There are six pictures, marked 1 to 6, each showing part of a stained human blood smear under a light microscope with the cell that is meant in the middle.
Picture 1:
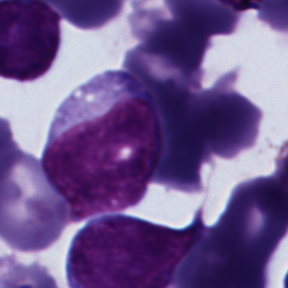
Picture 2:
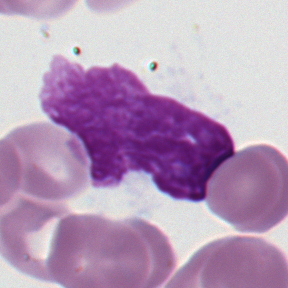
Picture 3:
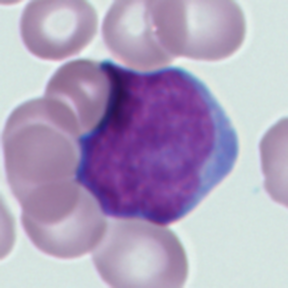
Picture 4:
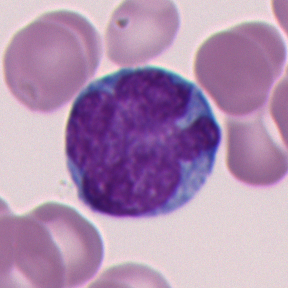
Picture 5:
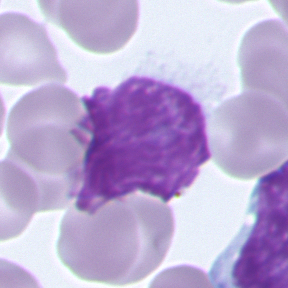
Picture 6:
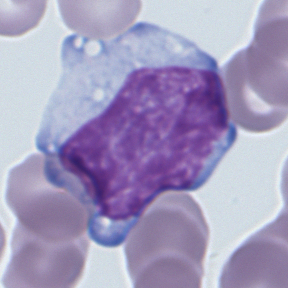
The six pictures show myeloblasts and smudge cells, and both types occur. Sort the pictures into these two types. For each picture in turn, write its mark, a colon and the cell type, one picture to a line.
1: myeloblast
2: smudge cell
3: myeloblast
4: myeloblast
5: smudge cell
6: myeloblast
